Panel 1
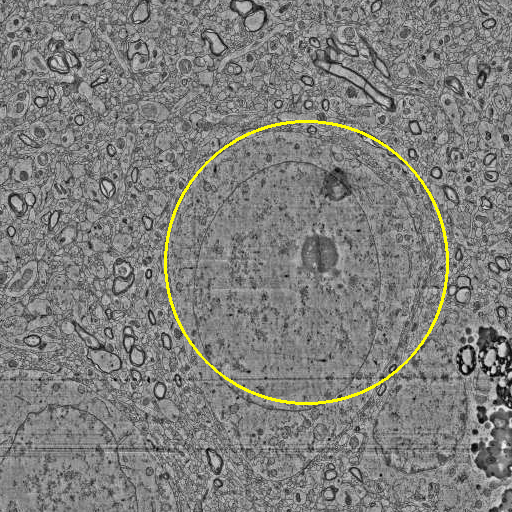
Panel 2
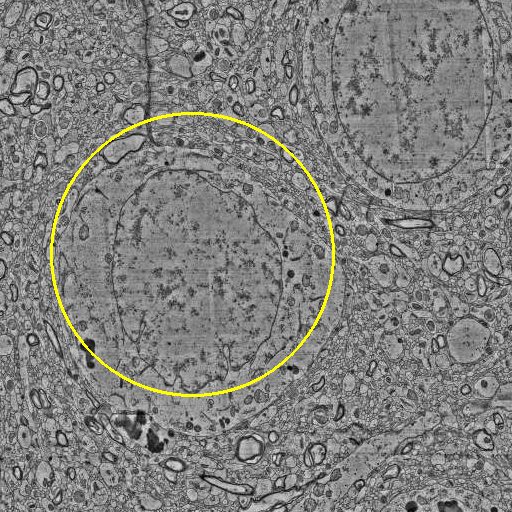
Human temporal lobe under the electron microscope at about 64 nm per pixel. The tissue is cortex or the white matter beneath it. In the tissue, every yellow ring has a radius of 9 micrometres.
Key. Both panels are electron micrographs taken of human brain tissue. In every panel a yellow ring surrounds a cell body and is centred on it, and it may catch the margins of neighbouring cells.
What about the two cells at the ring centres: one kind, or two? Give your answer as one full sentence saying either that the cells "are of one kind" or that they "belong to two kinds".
Across Panels 1 and 2, the two cells at the ring centres are of one kind.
